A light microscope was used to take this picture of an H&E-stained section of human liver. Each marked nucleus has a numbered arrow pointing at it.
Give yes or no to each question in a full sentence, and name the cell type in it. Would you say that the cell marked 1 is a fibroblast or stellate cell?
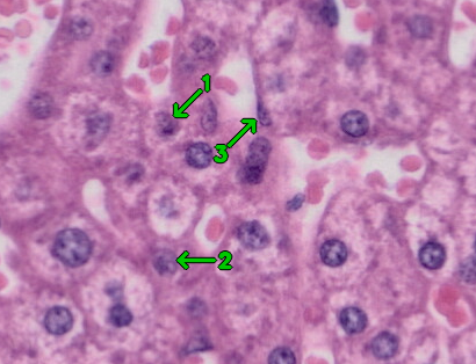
No, cell 1, which is a hepatocyte, is not a fibroblast or stellate cell.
